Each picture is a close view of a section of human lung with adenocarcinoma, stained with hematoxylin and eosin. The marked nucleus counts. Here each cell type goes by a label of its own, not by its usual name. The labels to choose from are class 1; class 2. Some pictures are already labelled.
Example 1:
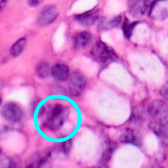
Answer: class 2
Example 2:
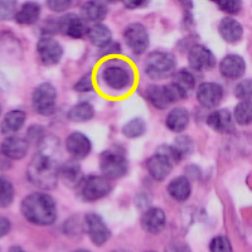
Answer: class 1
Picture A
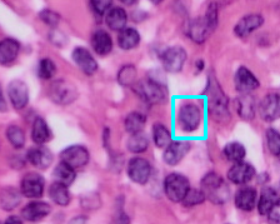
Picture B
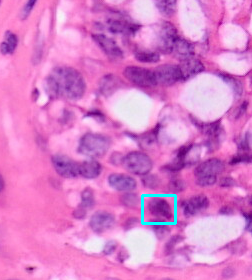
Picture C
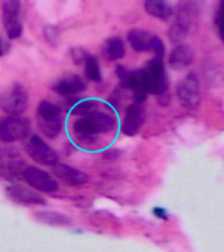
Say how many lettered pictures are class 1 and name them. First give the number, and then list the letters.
1, namely A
